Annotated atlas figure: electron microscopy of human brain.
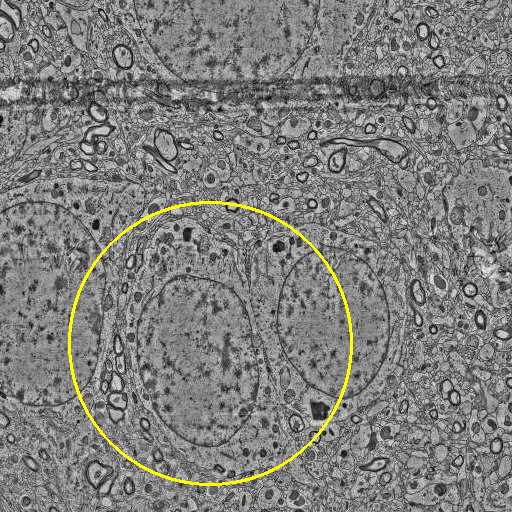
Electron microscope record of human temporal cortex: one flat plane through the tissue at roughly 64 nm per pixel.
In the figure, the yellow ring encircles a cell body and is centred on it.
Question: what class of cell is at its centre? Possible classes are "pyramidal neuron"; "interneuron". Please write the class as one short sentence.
The yellow ring is drawn around an interneuron.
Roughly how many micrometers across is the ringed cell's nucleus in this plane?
In this plane, about 11 micrometres in length and 8 in width.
